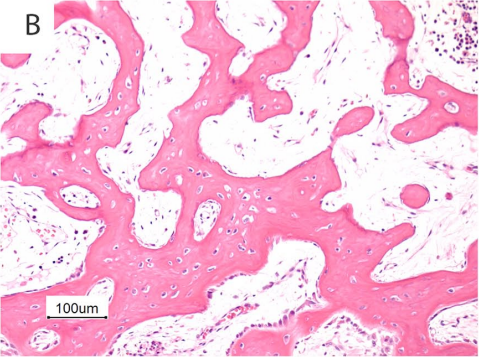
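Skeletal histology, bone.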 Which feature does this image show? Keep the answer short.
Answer: Bony trabeculae.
